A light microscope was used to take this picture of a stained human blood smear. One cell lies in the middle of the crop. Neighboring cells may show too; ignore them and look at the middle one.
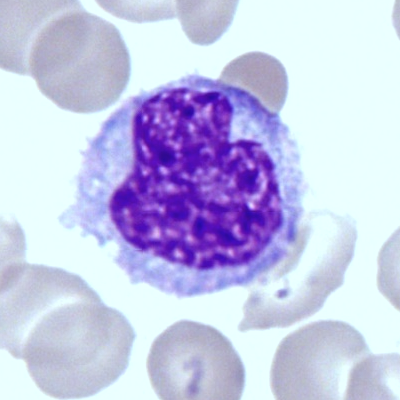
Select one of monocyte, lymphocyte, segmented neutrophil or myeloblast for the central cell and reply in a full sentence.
The cell under consideration, at the middle of the crop, is a monocyte.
